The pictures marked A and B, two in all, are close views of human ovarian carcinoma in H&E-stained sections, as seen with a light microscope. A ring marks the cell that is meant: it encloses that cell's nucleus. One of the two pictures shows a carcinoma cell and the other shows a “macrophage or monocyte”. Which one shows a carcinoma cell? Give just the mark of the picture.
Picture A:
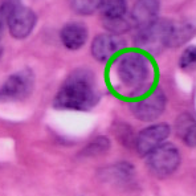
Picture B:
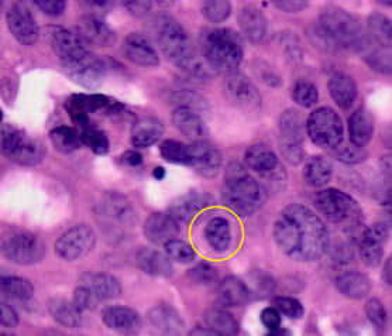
A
